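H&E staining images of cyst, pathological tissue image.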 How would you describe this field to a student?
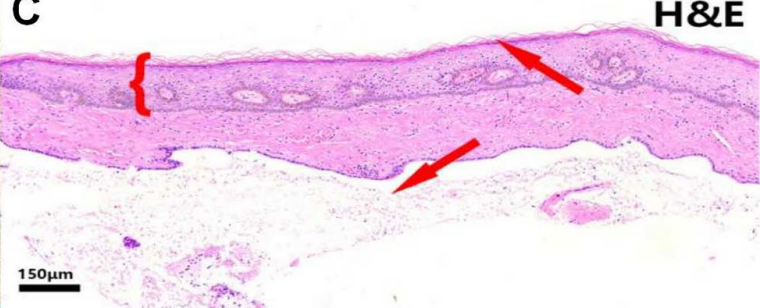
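This is a section of a lesion wall covered by a stratified squamous epithelium, seen as a pink band with a darker purple basal layer and a thin, wavy layer at the surface. A red bracket spans the thickness of this epithelial layer. Within and just beneath it are small rounded profiles cut across, which look like papillae with small vessels. Under the epithelium lies a fairly dense, pink-staining band of fibrous stroma. Below that the tissue turns pale and loose, with sparse cells, scattered small vessels and a few pink strands, and a red arrow points into this zone.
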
